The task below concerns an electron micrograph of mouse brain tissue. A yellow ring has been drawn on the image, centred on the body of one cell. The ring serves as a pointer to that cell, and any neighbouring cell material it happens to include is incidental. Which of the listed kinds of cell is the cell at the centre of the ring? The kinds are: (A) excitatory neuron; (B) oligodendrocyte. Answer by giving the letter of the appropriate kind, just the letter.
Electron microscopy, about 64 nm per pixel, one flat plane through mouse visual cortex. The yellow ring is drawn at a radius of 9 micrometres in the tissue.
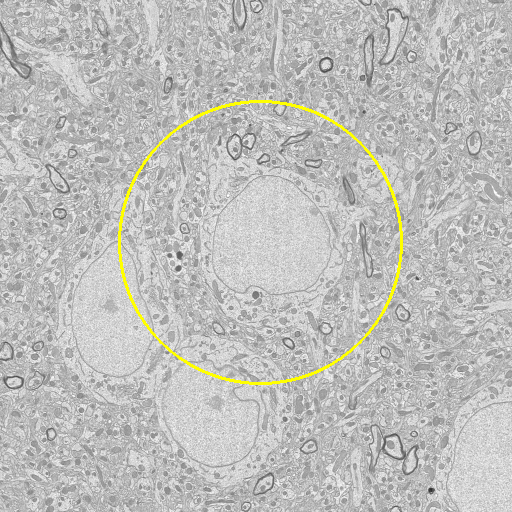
A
